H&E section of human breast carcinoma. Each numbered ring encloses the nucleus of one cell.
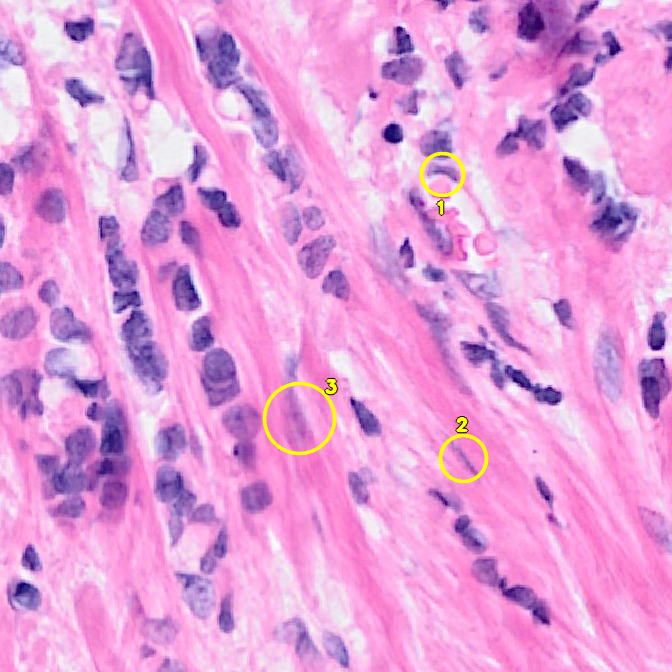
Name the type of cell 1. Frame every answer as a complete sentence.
The numbered cell 1 in this field is an endothelial cell.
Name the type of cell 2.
Cell 2 of the marked set is a fibroblast.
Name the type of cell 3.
To a fibroblast belongs the nucleus marked 3.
